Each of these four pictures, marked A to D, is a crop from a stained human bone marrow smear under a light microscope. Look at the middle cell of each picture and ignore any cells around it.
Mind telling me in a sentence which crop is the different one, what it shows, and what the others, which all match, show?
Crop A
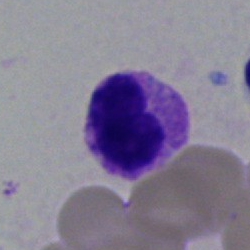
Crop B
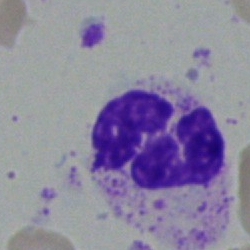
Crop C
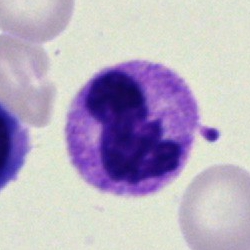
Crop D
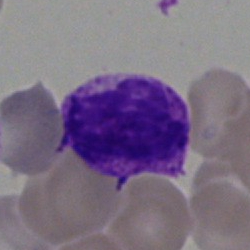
Here the outlier is crop C, which is a segmented neutrophil, and the rest are basophils.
